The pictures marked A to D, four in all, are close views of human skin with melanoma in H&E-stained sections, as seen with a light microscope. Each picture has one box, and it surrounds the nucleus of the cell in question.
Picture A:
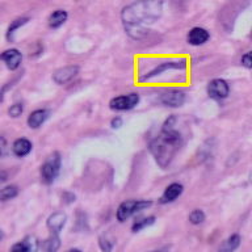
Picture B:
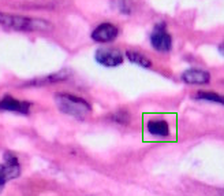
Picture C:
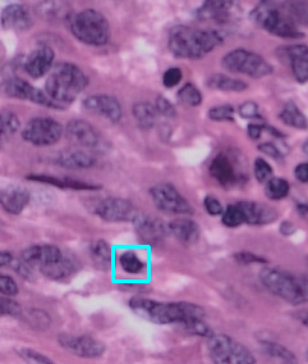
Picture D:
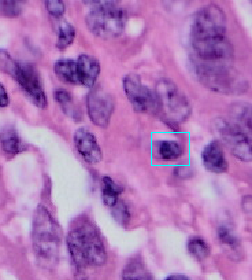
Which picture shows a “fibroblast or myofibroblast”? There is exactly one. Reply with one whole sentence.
Picture A is the one that shows the “fibroblast or myofibroblast”.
